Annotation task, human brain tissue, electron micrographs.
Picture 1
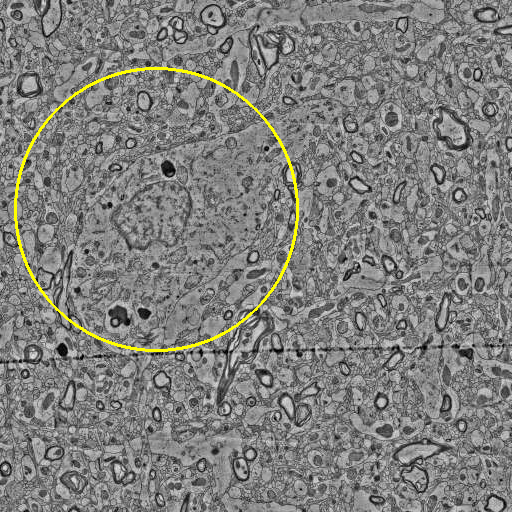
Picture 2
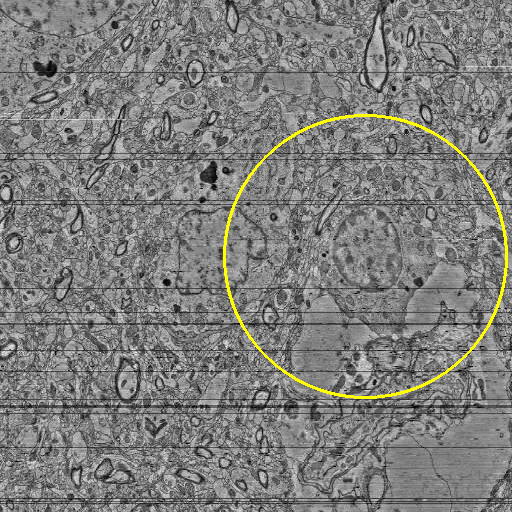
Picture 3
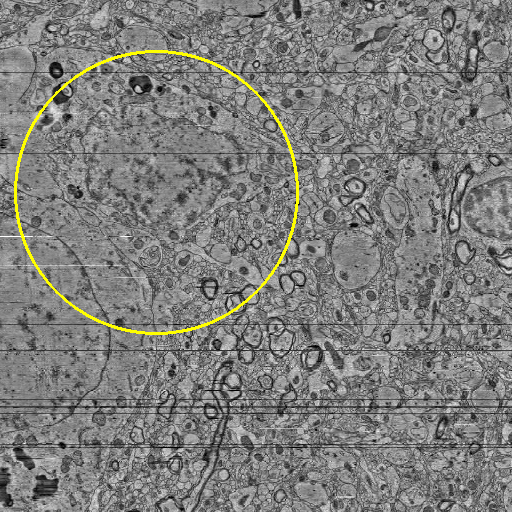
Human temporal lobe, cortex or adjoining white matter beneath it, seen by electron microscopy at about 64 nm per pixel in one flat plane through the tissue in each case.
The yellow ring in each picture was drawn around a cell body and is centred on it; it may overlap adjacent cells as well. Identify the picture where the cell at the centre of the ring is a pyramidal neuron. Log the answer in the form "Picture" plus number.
Picture 1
